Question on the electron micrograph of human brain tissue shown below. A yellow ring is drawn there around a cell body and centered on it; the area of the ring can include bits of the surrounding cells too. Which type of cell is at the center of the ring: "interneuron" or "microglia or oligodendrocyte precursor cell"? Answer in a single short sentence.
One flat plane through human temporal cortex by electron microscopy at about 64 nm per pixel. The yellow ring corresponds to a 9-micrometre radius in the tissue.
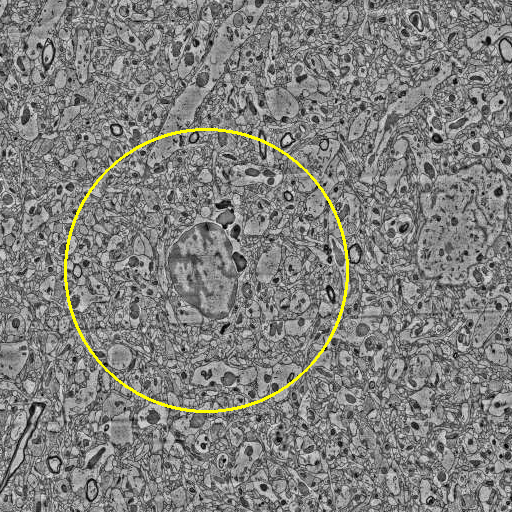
The ring is centered on a microglial cell or oligodendrocyte precursor cell.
